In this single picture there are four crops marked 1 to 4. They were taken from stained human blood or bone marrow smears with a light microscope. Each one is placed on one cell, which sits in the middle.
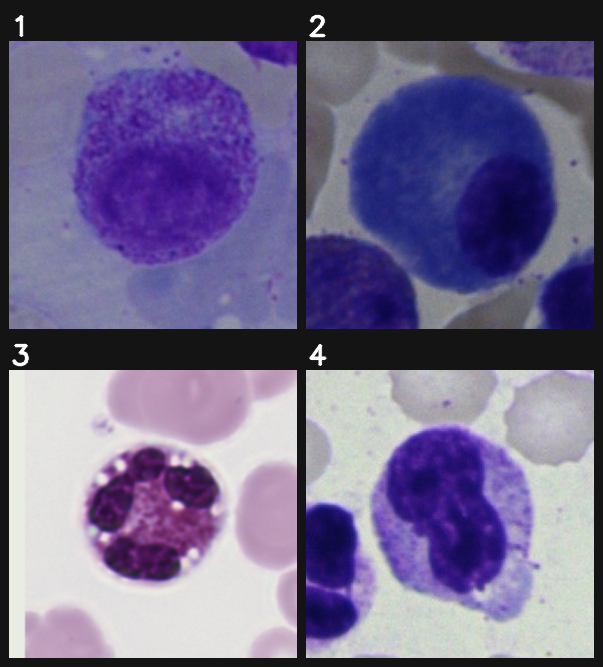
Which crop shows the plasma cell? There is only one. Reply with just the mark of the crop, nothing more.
2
